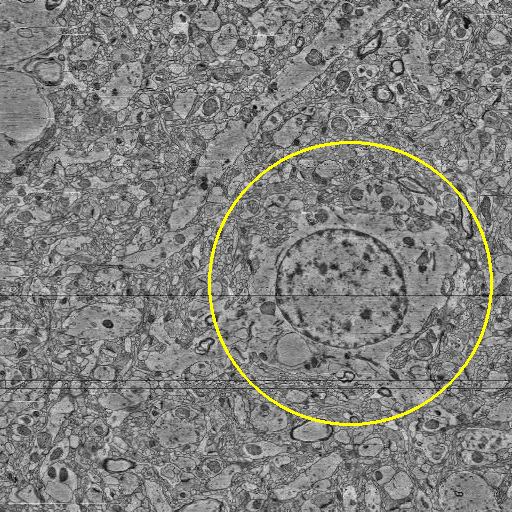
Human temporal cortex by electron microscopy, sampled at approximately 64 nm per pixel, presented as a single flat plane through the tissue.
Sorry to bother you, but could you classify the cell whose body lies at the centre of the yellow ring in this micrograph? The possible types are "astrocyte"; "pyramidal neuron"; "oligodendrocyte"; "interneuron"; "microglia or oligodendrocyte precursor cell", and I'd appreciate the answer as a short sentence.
The ringed cell body is that of an astrocyte.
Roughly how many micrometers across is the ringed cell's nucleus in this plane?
The nucleus is approximately 8 micrometers across in this plane.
